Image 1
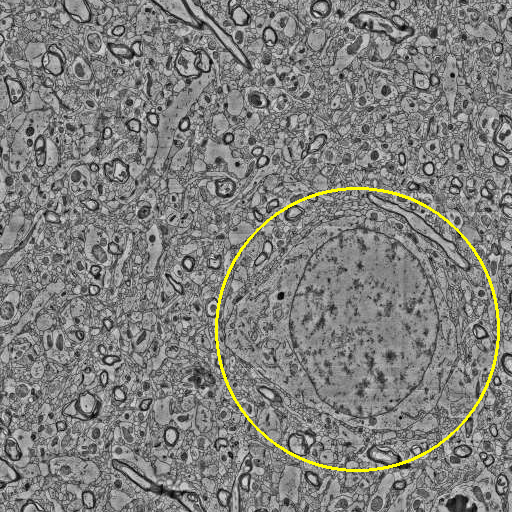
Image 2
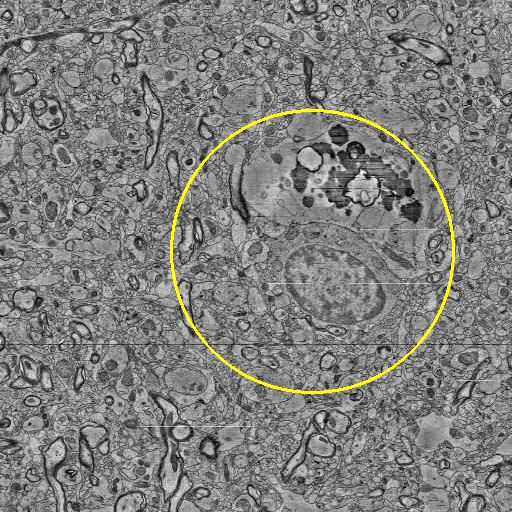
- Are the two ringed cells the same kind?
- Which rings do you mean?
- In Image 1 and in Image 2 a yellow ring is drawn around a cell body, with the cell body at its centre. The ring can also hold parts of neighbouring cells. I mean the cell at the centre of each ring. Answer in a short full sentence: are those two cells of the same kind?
No, the cells are of two kinds.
